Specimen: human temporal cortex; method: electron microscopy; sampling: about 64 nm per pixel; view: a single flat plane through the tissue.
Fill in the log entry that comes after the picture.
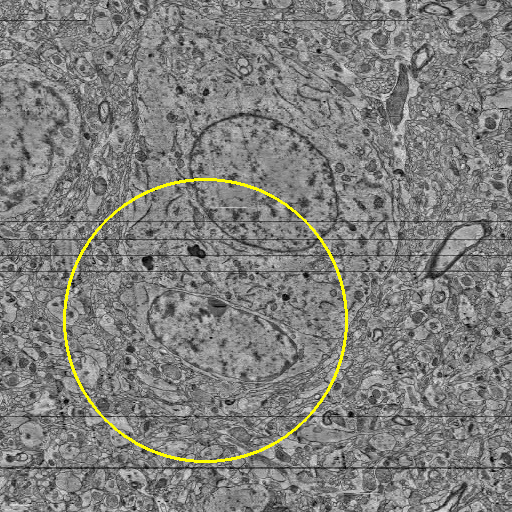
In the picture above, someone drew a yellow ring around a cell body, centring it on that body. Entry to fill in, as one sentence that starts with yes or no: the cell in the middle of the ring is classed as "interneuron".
No, the cell in the ring's centre in this image is of a different kind.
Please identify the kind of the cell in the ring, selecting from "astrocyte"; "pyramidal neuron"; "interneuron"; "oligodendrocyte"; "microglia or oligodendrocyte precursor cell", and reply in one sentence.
The cell that the ring is centred on is a microglial cell or oligodendrocyte precursor cell.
